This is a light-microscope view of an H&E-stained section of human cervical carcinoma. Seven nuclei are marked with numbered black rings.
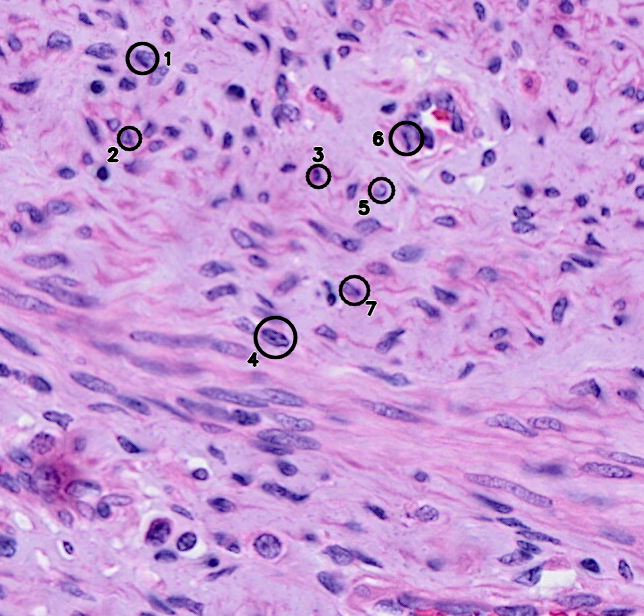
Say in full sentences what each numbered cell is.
Cell 1 is a fibroblast, cell 2 is a smooth muscle cell, cell 3 is a smooth muscle cell, cell 4 is a lymphocyte, cell 5 is a smooth muscle cell, cell 6 is an endothelial cell and cell 7 is a smooth muscle cell.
